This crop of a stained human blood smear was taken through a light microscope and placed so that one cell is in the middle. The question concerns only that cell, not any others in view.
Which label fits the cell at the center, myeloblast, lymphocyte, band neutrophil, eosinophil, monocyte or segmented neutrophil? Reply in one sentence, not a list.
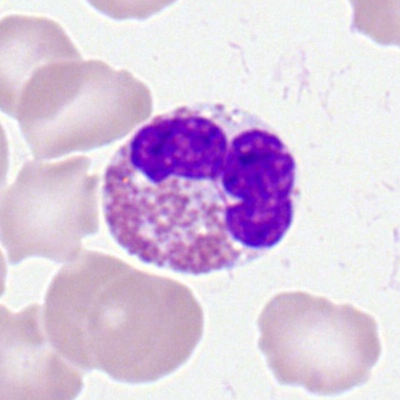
On this slide crop, the central cell is an eosinophil.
